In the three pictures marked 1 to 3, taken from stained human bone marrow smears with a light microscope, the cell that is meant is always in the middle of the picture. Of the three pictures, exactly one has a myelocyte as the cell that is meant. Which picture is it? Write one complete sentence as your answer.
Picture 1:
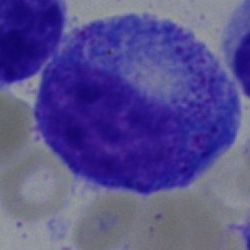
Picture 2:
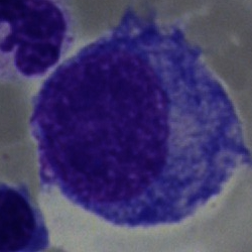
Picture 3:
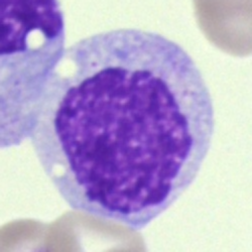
The picture with the myelocyte is 3.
